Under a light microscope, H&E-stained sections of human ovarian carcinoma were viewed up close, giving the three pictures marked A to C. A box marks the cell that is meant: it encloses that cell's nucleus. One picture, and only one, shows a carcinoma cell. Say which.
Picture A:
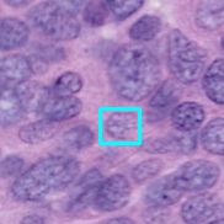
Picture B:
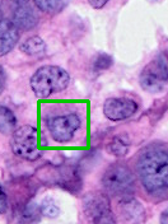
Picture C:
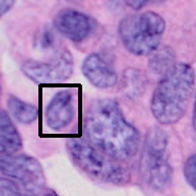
A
